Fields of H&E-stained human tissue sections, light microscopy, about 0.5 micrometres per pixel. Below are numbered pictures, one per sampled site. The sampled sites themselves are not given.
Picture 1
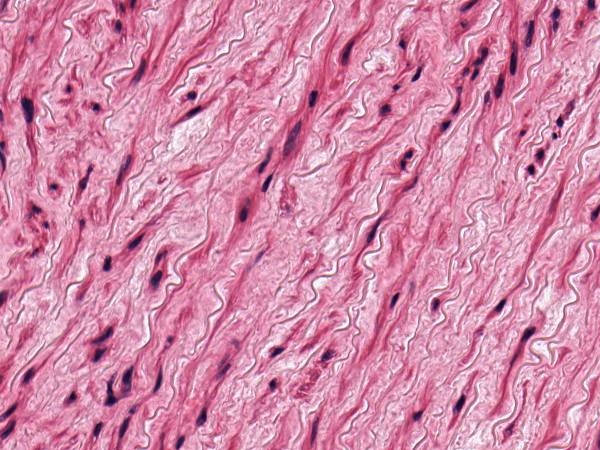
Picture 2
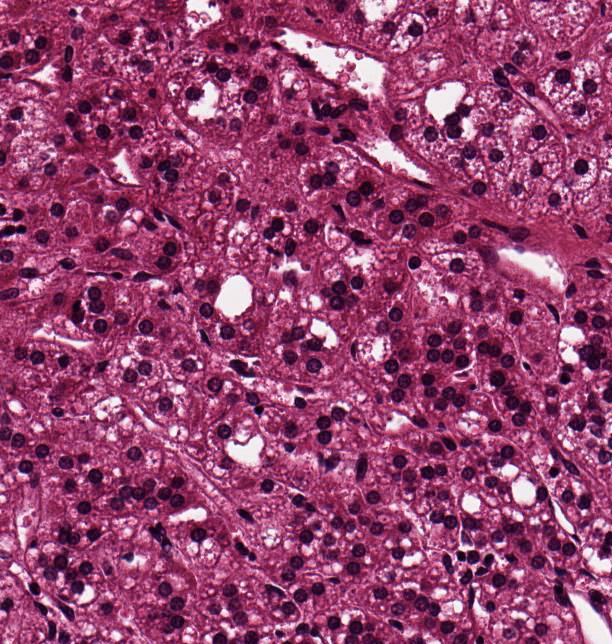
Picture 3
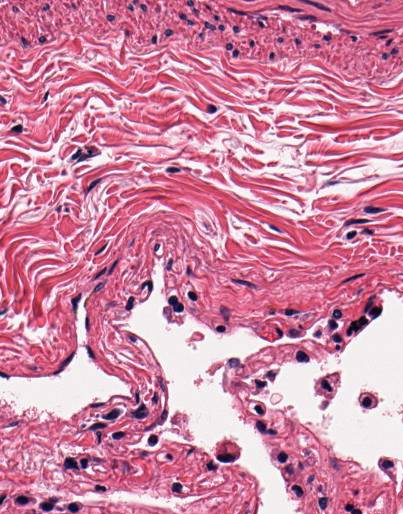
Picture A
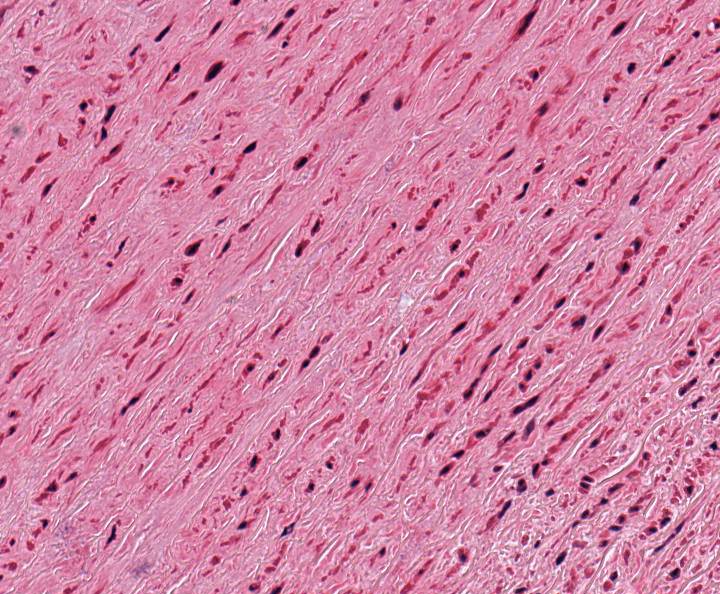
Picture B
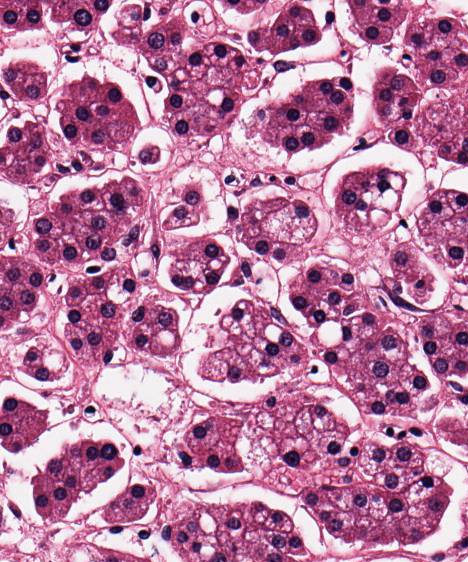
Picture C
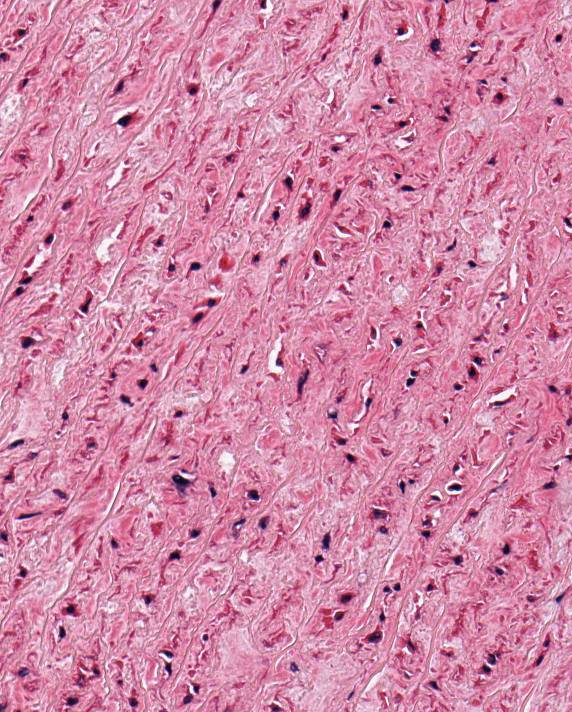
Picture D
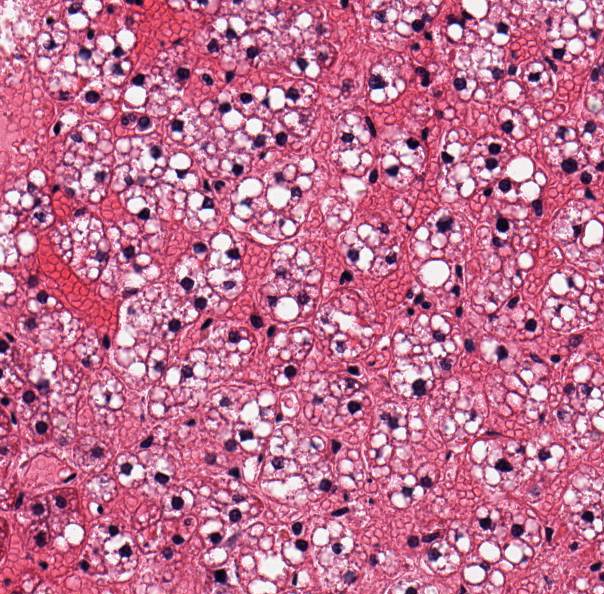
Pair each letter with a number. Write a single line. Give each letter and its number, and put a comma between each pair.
A 1, B 2, C 1, D 2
